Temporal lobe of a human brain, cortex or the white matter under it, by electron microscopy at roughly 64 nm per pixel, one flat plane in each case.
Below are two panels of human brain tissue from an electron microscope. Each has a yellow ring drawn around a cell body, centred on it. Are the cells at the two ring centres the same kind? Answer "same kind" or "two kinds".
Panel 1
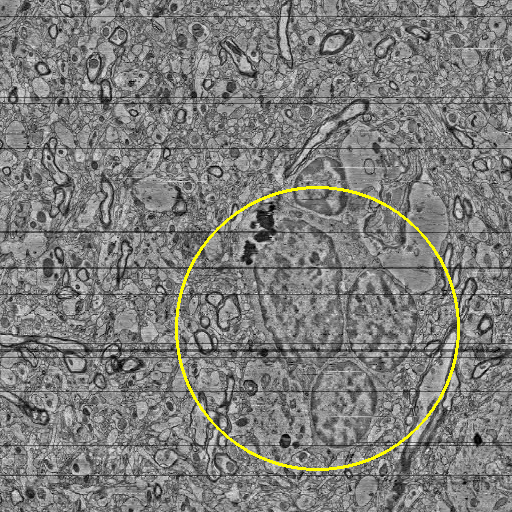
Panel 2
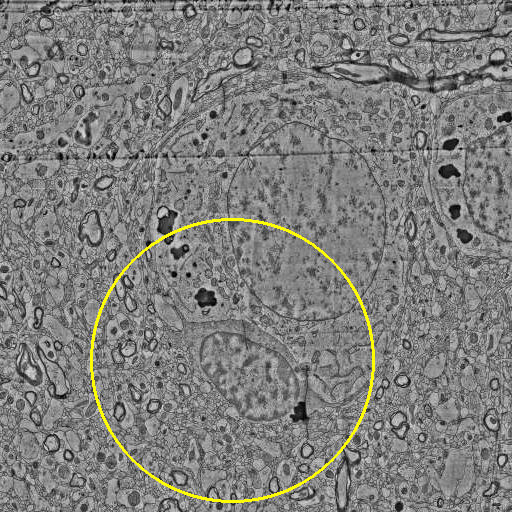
same kind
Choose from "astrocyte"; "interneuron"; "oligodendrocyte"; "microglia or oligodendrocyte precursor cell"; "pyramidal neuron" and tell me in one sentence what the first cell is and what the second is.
The second cell is an oligodendrocyte, just as the first is.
